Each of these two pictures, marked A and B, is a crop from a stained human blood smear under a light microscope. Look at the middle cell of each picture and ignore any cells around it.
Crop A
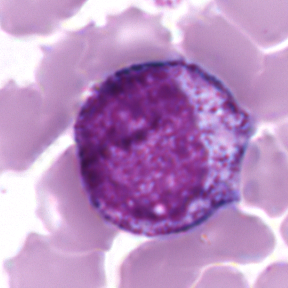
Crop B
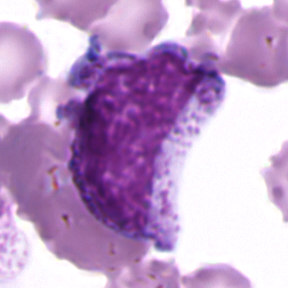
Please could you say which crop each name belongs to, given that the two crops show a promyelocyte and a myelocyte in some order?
A: myelocyte
B: promyelocyte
